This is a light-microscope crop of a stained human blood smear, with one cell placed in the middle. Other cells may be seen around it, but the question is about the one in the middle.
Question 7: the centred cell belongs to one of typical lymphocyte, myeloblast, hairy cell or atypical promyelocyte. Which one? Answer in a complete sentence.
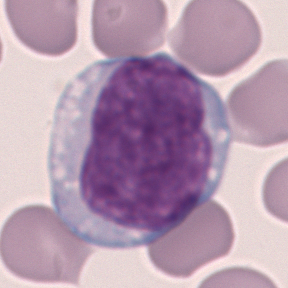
The crop shows a myeloblast in its centre.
